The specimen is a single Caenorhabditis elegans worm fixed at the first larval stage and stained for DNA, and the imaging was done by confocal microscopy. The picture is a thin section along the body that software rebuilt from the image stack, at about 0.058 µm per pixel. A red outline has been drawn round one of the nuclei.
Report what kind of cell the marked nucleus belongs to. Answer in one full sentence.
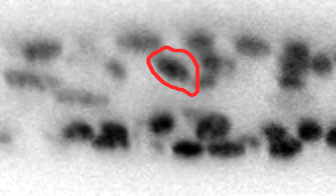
It belongs to a pharyngeal muscle cell.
